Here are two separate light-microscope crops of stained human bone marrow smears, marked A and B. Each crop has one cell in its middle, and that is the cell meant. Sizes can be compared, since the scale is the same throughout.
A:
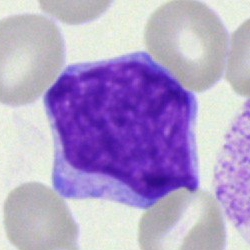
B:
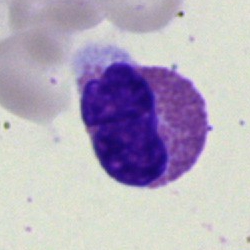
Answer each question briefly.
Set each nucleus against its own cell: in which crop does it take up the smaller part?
B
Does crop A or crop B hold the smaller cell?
B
